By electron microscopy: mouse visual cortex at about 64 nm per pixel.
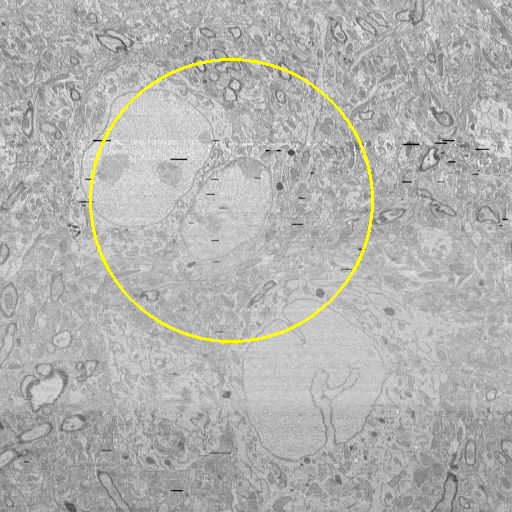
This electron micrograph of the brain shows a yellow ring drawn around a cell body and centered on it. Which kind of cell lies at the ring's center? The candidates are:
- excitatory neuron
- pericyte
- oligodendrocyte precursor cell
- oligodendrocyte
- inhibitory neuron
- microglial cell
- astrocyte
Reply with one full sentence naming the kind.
The cell lying at the ring's center in this micrograph is an astrocyte.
